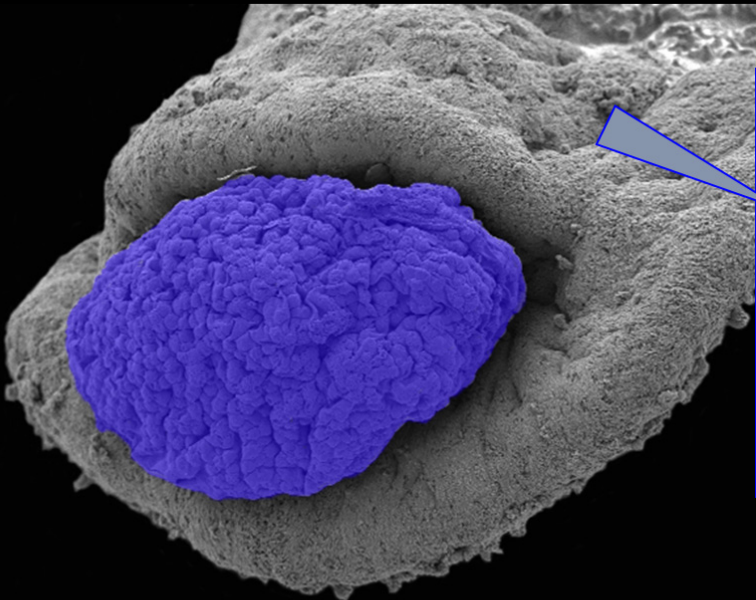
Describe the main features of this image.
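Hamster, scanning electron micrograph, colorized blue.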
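This low-magnification view shows an oocyte cumulus complex, colored blue, lying at the ostium, the opening, of an infundibulum. The infundibulum appears as a thick grey fold of tissue whose rim curves around a central opening. The blue mass is rounded and irregular, with a bumpy, cobbled surface made of many small packed units. It rests against the inner lip of the opening, partly inside it. The grey surface around it has a fine, velvety texture.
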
